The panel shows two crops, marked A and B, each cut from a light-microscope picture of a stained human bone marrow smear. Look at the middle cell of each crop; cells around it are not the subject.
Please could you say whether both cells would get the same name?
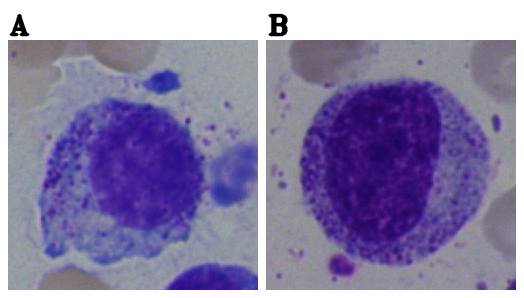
yes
